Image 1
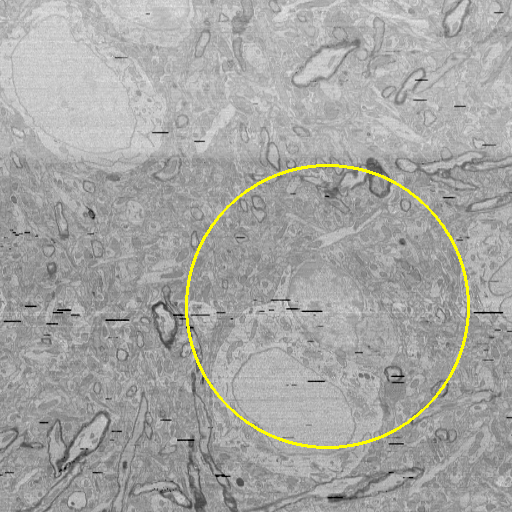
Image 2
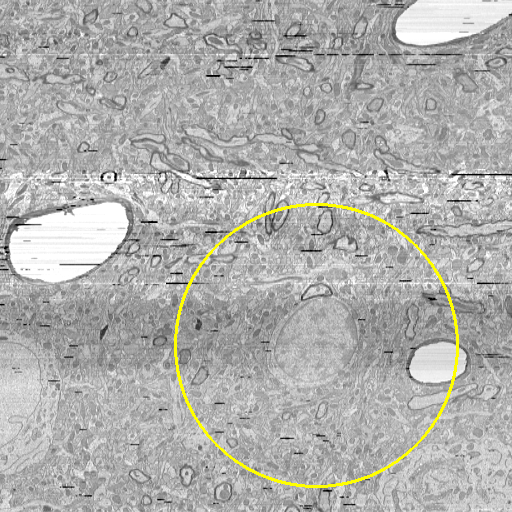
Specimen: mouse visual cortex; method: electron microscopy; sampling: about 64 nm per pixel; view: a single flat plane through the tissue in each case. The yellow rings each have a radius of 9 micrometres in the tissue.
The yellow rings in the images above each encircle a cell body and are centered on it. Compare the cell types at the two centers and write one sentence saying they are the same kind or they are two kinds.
Taken together, the two cells at the ring centers are the same kind.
